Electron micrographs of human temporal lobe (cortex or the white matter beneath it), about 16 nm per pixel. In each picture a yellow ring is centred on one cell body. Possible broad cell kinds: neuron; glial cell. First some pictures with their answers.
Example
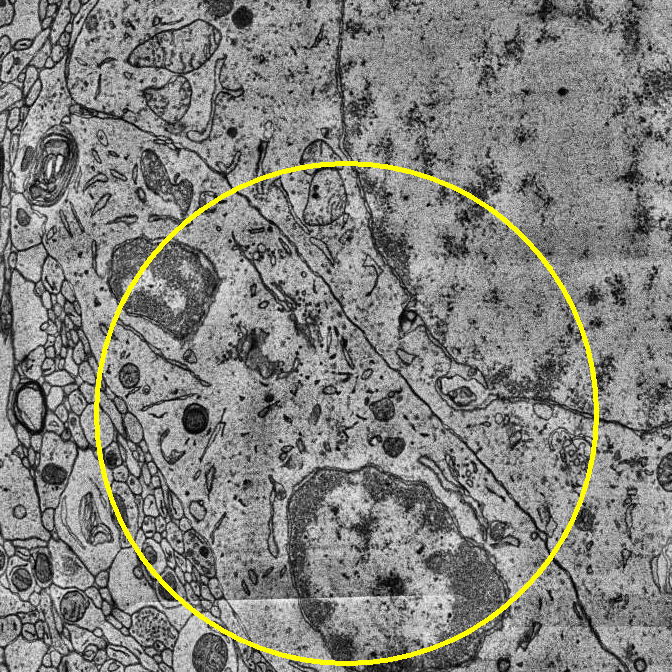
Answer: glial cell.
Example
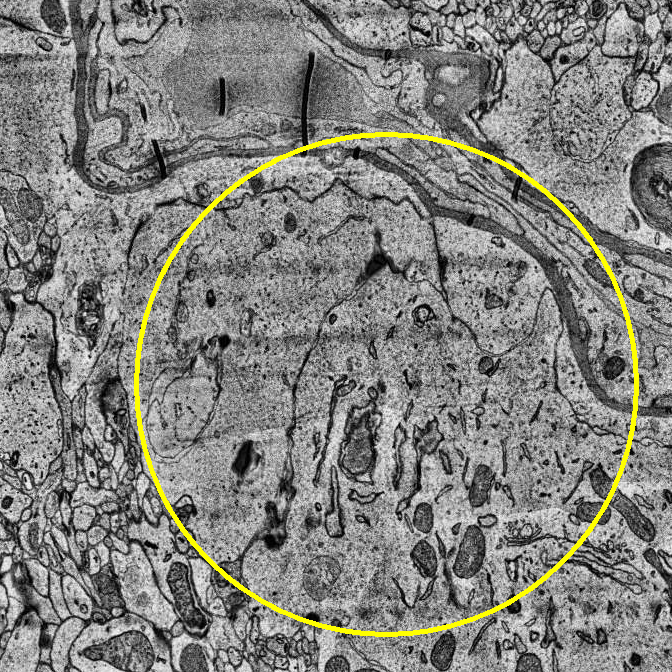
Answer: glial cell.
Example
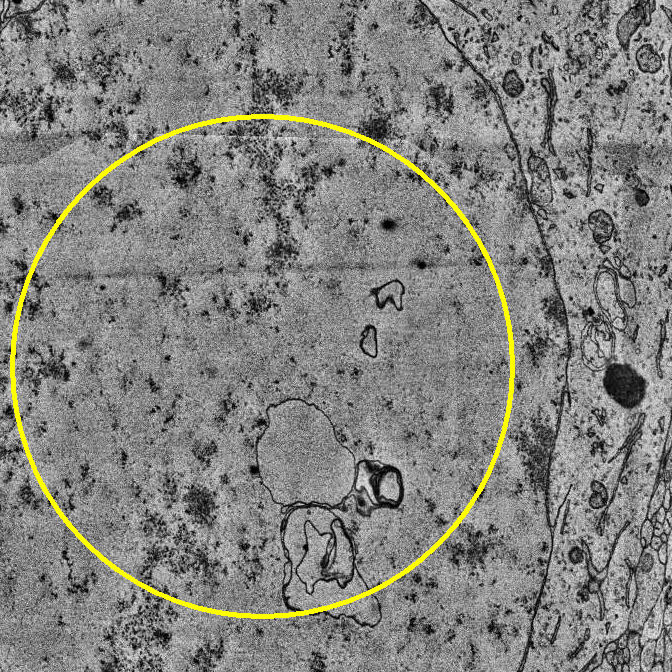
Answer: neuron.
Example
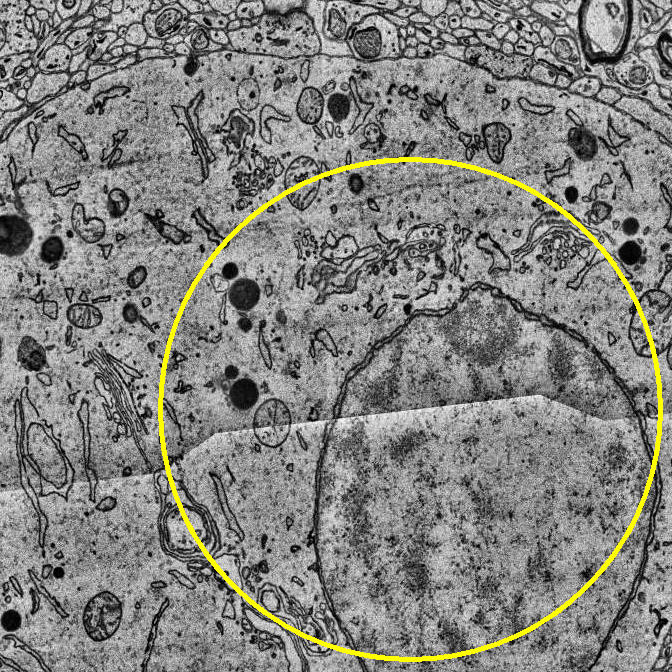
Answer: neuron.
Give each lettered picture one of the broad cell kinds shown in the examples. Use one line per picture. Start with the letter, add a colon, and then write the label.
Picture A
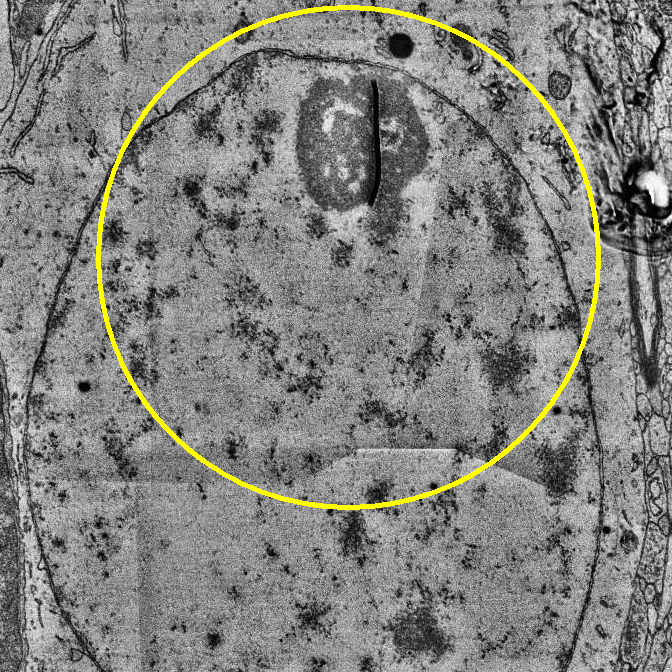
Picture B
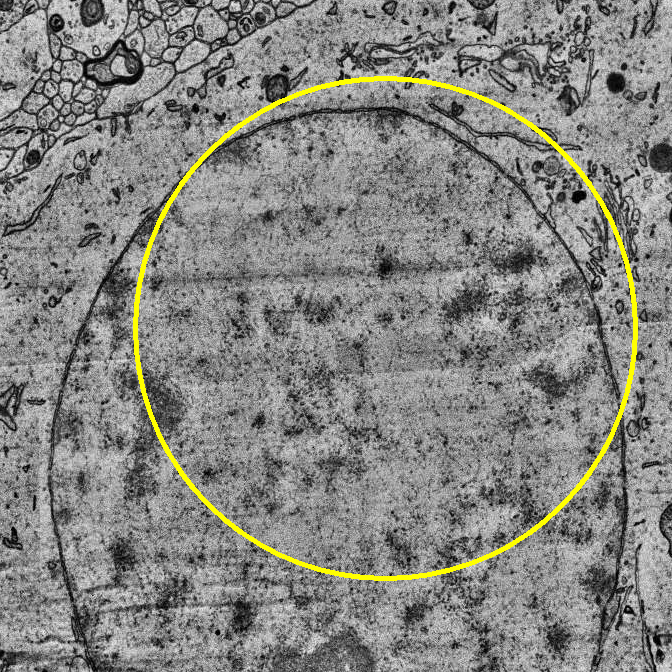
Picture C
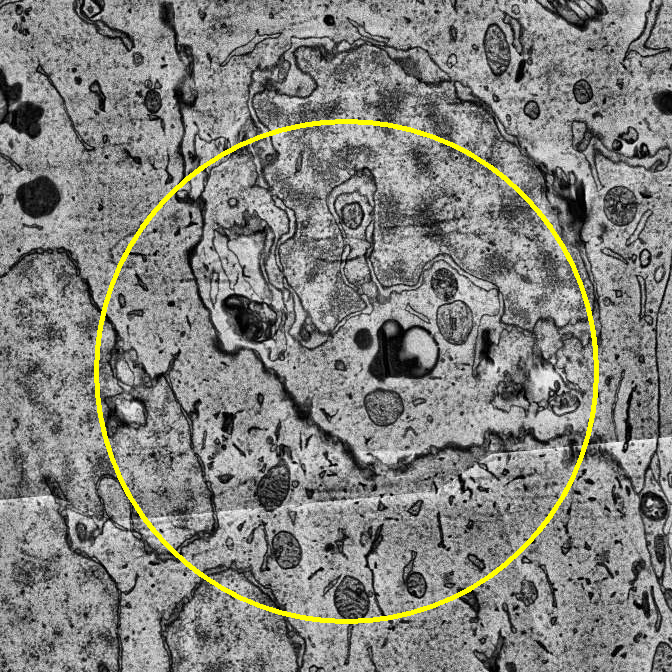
A: neuron.
B: neuron.
C: neuron.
